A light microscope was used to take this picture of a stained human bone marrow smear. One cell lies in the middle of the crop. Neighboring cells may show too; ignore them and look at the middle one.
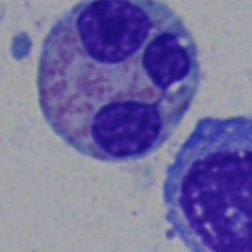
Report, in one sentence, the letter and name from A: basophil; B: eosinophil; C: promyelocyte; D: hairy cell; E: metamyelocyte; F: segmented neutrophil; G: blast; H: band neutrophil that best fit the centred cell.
Option B stands as correct, the central cell being an eosinophil.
